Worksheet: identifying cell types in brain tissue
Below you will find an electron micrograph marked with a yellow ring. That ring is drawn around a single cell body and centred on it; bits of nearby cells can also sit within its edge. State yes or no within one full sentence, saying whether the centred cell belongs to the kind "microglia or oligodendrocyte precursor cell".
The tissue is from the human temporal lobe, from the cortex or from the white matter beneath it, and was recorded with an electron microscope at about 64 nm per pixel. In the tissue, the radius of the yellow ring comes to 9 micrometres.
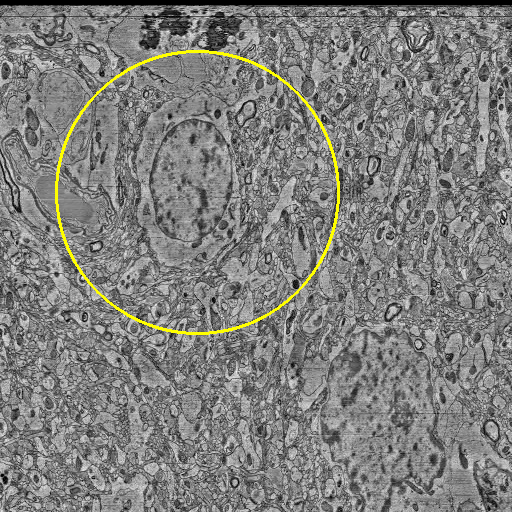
No, the cell sitting at the centre of the yellow ring in this picture is of another kind.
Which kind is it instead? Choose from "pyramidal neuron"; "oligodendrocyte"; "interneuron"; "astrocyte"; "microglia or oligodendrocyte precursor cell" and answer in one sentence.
Instead, what sits at the centre of the ring is an astrocyte.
